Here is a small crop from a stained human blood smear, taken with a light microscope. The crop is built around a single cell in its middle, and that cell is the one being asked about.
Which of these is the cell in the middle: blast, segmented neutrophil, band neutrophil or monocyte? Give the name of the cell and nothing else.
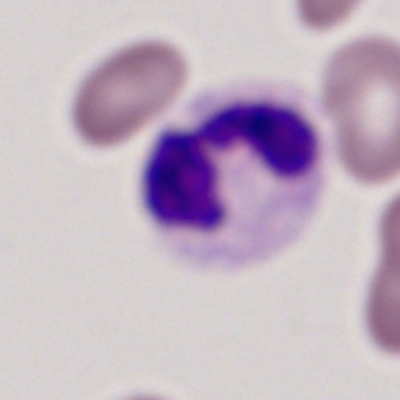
segmented neutrophil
